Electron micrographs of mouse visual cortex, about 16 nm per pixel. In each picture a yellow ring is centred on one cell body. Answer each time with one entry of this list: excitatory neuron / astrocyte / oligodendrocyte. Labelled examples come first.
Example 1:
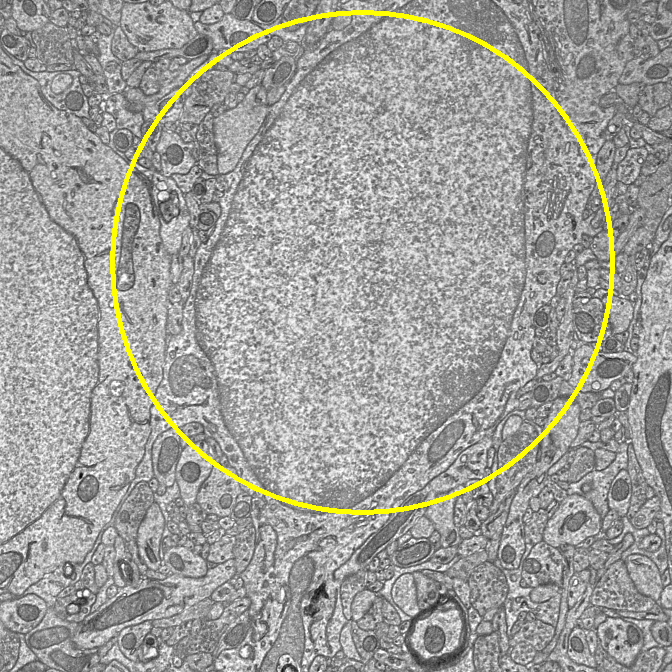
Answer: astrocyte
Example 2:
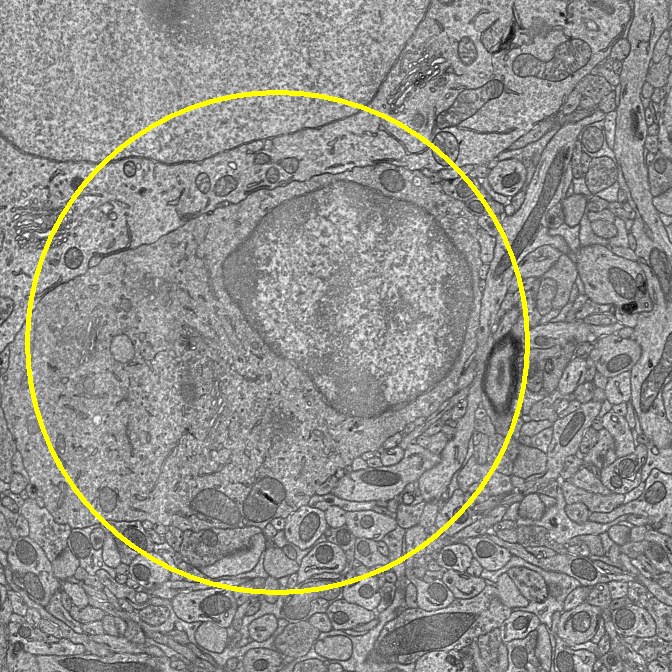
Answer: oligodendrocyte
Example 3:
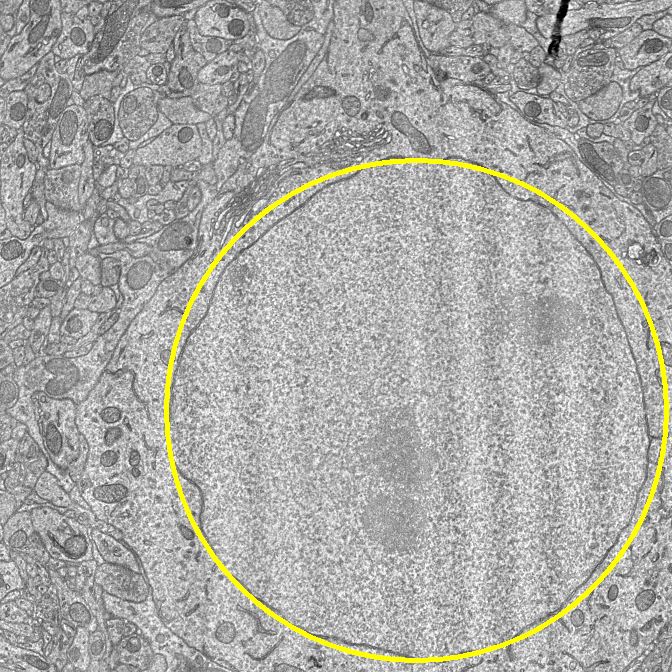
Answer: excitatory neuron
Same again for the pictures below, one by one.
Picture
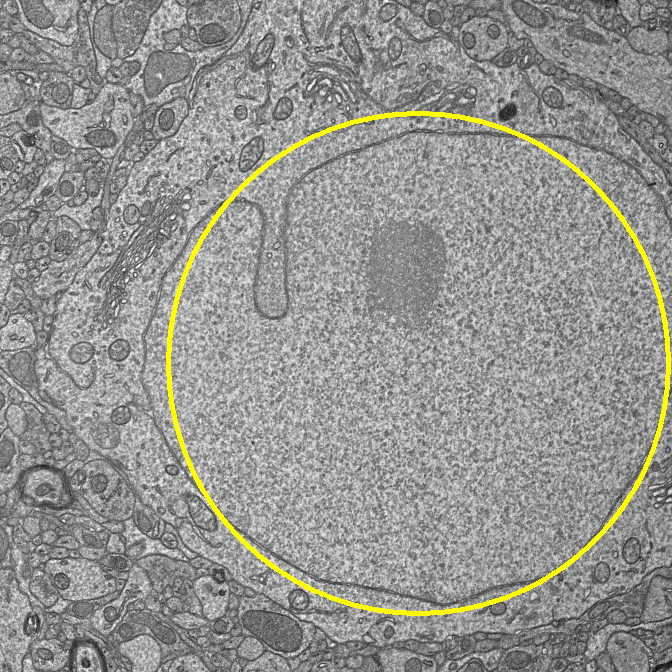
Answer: excitatory neuron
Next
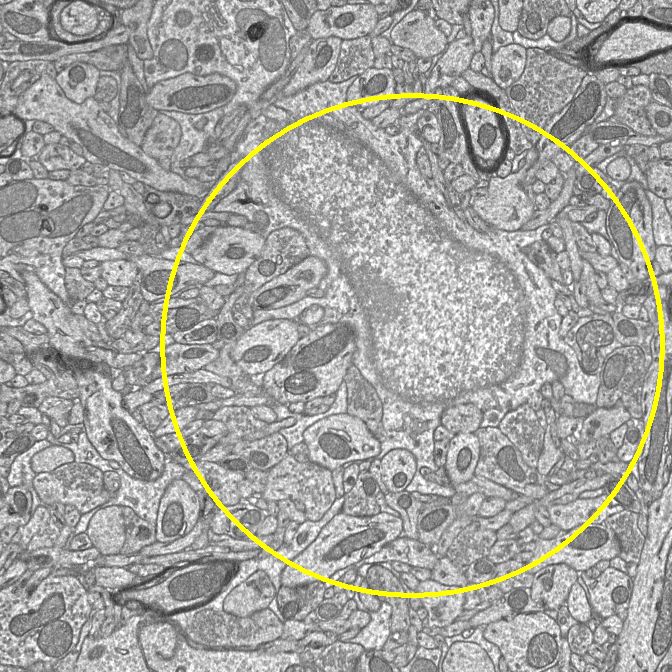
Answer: astrocyte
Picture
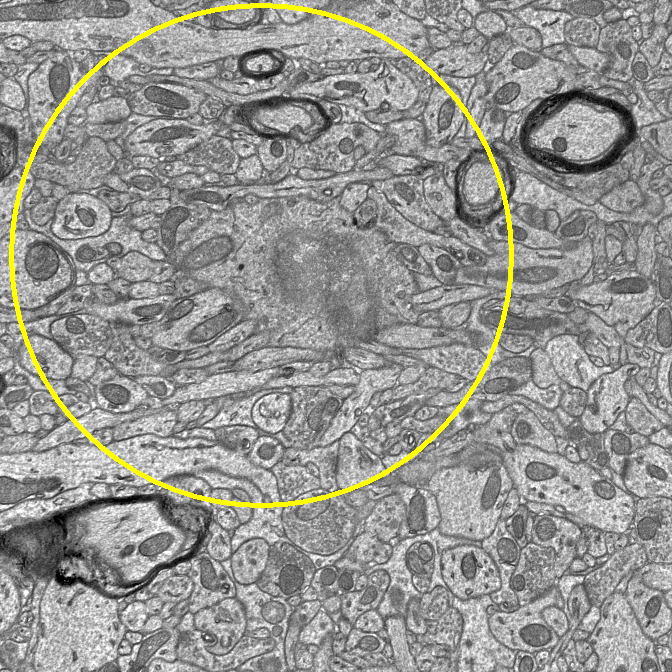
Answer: oligodendrocyte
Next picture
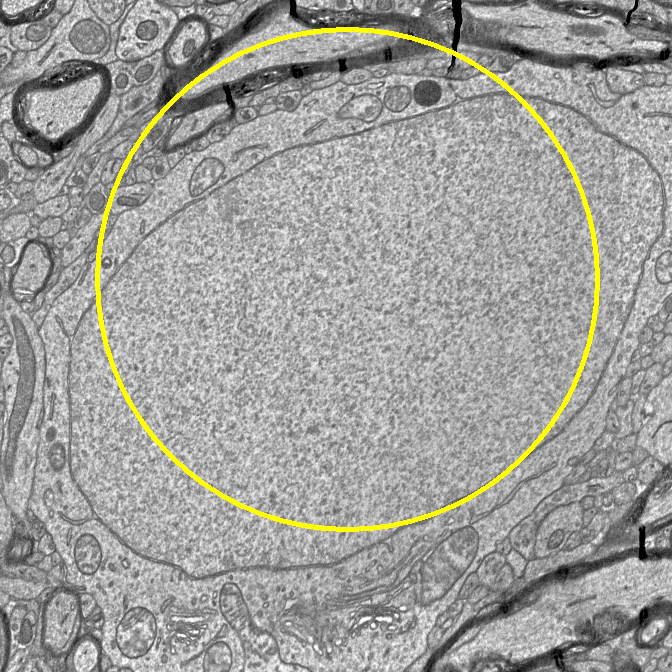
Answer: excitatory neuron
